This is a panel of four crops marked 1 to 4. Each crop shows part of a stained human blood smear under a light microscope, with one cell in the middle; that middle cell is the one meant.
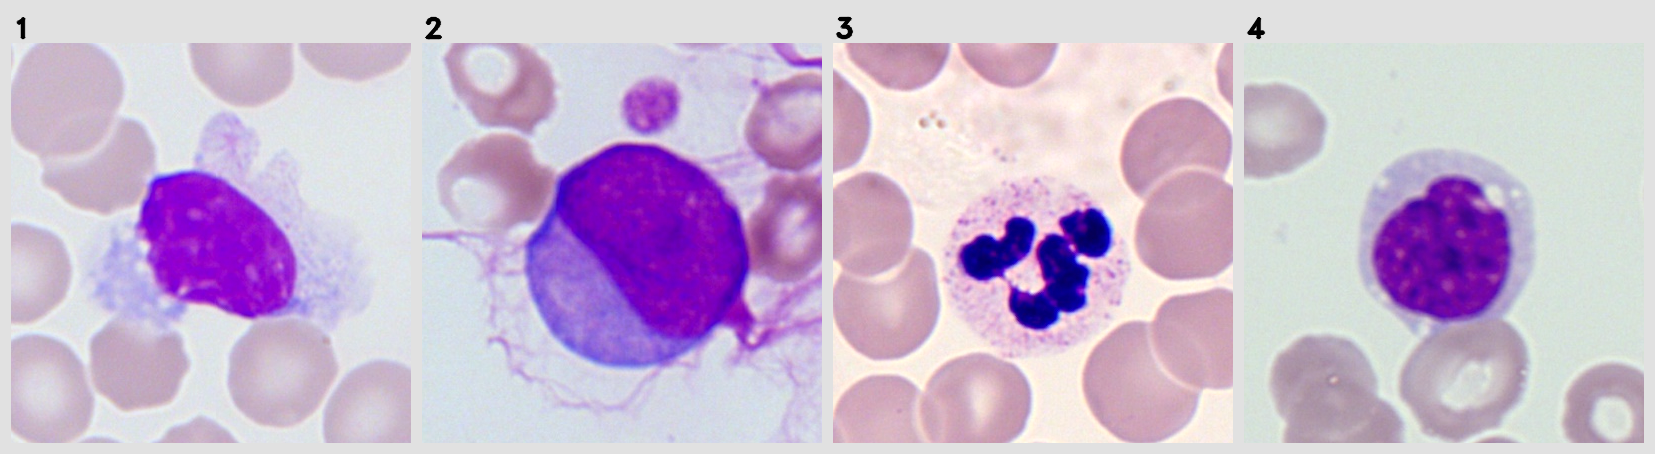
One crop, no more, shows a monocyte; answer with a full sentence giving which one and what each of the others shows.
Crop 4 exhibits a monocyte, while crop 1 is a lymphocyte, crop 2 is a myeloblast and crop 3 is a segmented neutrophil.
